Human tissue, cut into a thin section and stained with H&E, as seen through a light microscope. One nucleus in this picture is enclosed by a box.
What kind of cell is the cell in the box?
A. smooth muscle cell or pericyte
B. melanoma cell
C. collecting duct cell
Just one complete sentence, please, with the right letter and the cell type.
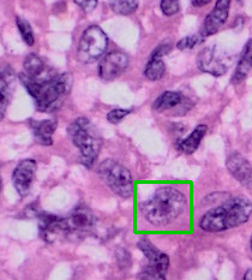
Of the options given, B is right: the cell in the box is a melanoma cell.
